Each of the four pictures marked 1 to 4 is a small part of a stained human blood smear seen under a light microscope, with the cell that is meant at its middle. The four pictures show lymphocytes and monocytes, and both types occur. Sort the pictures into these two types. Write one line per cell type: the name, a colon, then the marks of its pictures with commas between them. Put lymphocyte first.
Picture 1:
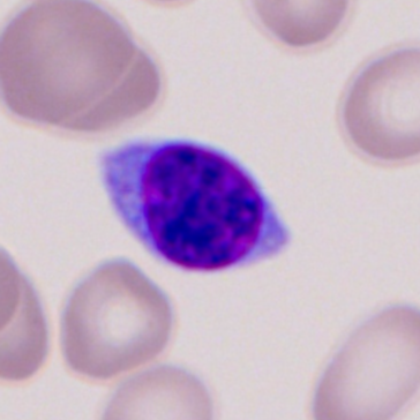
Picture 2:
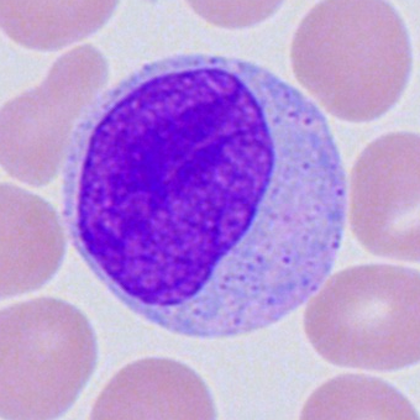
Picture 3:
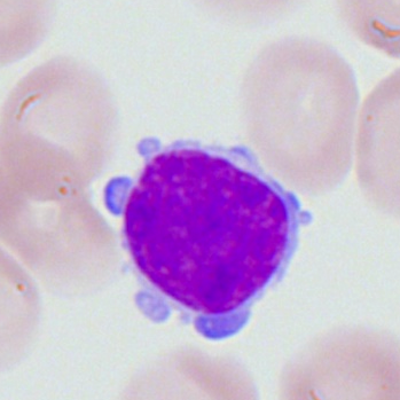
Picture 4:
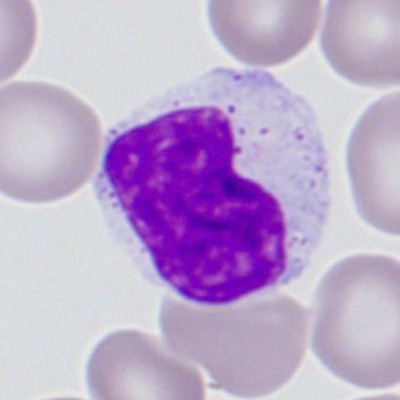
lymphocyte: 1, 3, 4
monocyte: 2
